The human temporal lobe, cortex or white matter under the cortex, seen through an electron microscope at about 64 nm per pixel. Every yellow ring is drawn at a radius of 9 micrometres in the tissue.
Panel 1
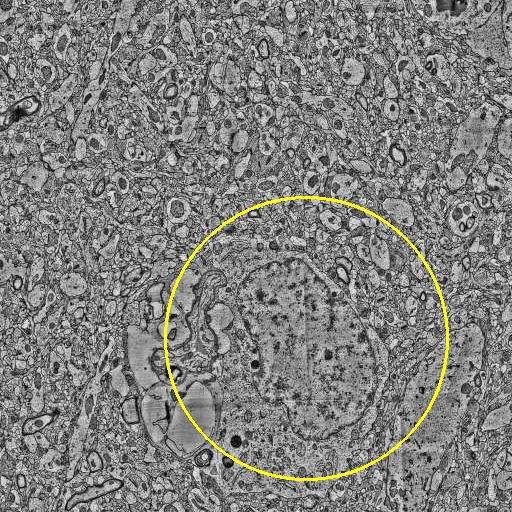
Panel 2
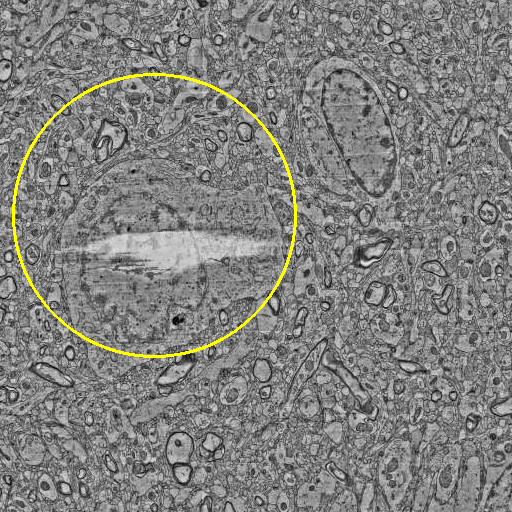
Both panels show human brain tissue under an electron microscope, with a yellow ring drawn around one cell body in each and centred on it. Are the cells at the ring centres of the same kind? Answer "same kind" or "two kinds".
same kind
